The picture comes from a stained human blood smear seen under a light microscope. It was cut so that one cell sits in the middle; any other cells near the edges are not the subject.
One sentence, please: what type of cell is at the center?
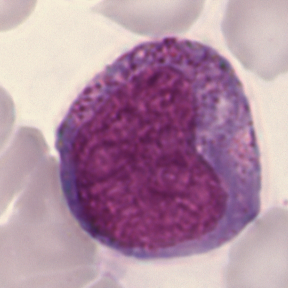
The cell found in the middle of this crop is a promyelocyte.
